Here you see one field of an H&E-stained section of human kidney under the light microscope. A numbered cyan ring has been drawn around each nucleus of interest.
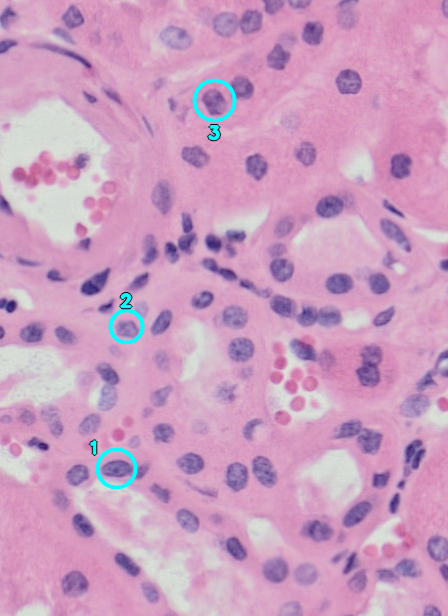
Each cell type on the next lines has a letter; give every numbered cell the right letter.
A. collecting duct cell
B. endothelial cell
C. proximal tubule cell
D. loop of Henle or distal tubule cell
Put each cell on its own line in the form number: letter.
1: A
2: A
3: C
